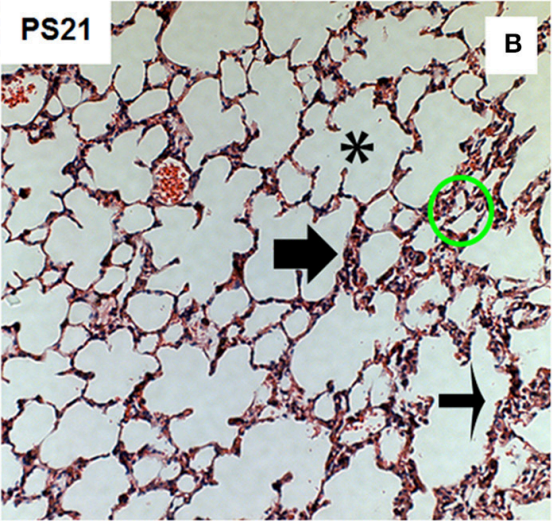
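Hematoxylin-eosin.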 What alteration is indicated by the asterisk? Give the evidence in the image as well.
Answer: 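Alveolar rupture. The asterisk lies in an airspace much larger than the surrounding alveoli. Short broken wall fragments project into this enlarged space.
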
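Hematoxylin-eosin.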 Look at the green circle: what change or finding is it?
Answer: Alveolar collapse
